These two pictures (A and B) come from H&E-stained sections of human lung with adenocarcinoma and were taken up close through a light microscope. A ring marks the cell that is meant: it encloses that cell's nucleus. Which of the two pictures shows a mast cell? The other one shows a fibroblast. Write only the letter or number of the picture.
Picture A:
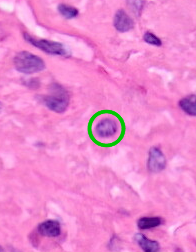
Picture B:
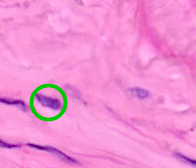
A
